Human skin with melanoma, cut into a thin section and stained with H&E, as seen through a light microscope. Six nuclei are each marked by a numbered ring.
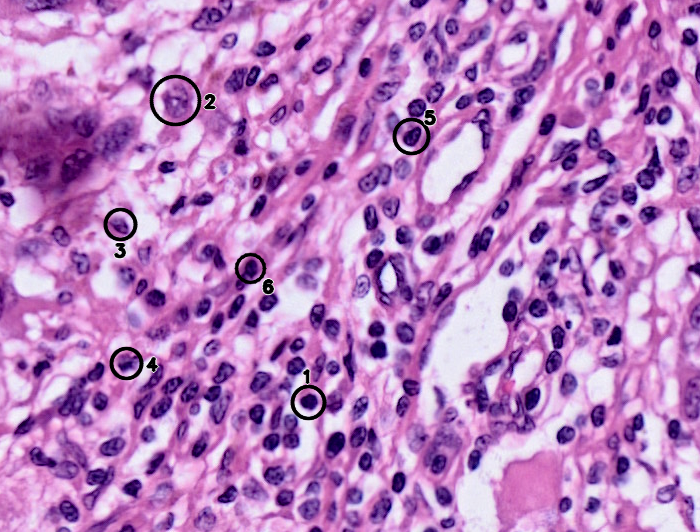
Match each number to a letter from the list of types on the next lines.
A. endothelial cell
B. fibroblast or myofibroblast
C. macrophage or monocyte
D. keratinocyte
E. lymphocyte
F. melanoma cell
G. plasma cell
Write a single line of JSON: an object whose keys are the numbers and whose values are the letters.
{"1": "E", "2": "F", "3": "C", "4": "E", "5": "E", "6": "G"}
